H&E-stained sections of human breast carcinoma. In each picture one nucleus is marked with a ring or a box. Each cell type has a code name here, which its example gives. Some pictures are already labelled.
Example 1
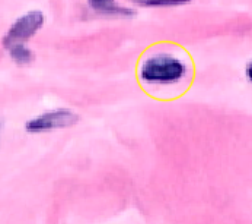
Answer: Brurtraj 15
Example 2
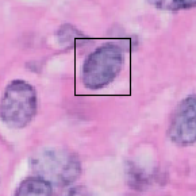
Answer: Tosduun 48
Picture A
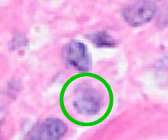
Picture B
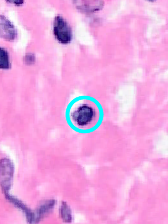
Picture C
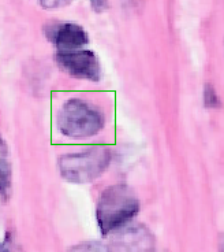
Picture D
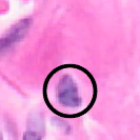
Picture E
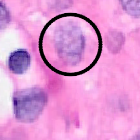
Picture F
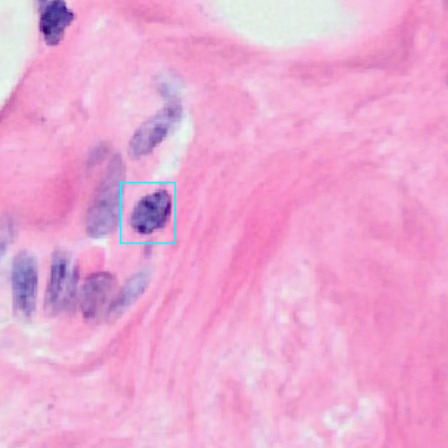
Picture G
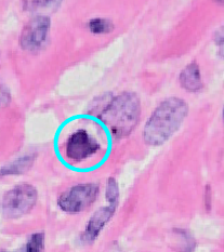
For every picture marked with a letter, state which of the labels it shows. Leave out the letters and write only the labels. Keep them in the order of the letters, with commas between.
Tosduun 48, Brurtraj 15, Tosduun 48, Brurtraj 15, Tosduun 48, Brurtraj 15, Tosduun 48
